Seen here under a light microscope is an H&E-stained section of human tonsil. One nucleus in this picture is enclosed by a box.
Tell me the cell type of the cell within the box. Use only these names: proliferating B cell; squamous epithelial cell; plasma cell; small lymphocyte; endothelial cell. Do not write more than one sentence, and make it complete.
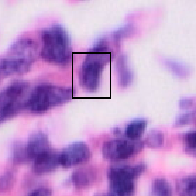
Within the stained tissue, the cell within the box is a proliferating B cell.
